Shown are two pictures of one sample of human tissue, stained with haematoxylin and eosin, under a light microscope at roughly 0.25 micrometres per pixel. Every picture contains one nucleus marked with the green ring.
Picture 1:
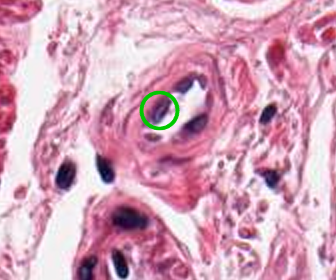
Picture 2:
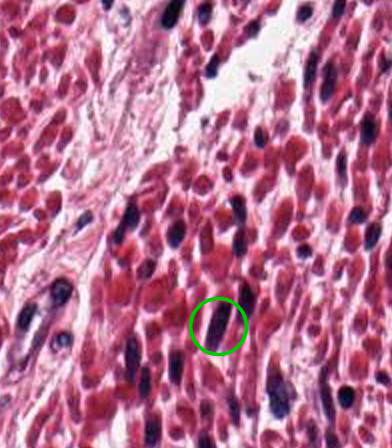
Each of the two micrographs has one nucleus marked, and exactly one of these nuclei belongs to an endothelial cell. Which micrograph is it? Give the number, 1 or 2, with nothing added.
1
